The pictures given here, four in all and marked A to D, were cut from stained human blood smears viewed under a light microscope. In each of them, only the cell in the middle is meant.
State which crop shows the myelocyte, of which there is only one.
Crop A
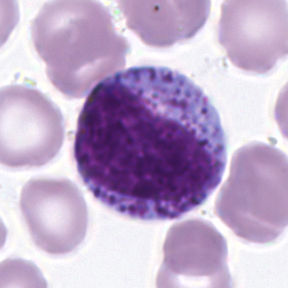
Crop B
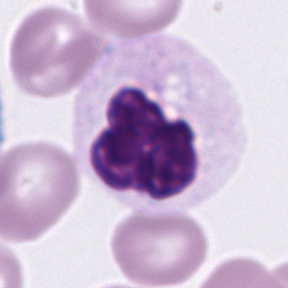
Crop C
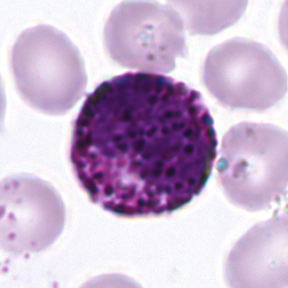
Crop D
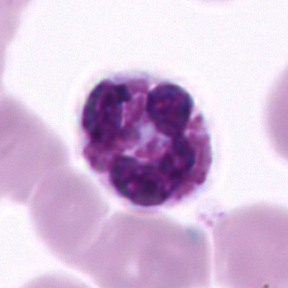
A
